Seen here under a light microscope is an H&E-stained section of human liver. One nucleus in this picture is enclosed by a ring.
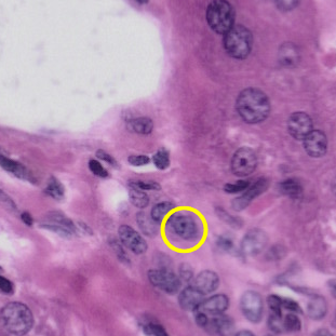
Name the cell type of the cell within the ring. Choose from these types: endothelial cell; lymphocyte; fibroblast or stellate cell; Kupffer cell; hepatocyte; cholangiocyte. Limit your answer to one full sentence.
Typologically, the cell within the ring is a cholangiocyte in this section.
